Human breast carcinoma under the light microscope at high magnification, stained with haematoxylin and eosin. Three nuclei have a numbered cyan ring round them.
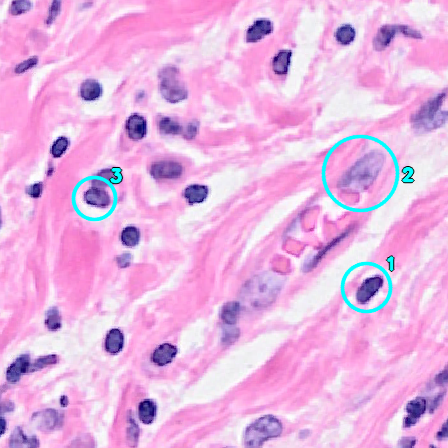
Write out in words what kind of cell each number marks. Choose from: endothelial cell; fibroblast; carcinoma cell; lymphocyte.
Cells 1 and 3 are lymphocytes. Cell 2 is an endothelial cell.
